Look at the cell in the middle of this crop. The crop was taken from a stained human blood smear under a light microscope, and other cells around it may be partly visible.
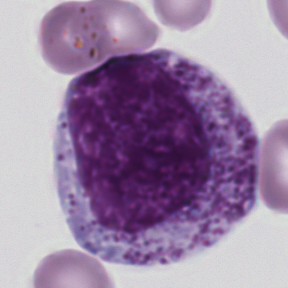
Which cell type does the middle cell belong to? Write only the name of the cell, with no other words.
promyelocyte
